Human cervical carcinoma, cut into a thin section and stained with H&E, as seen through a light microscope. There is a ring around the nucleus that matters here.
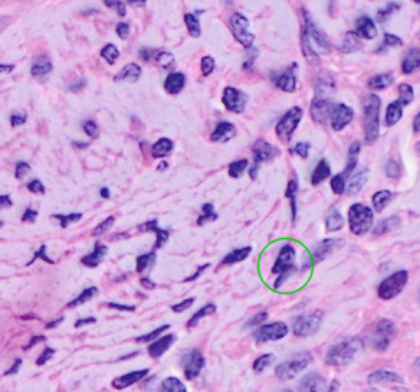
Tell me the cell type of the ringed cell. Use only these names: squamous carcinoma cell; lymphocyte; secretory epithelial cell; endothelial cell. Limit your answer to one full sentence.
Histopathologically, the ringed cell is a lymphocyte.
